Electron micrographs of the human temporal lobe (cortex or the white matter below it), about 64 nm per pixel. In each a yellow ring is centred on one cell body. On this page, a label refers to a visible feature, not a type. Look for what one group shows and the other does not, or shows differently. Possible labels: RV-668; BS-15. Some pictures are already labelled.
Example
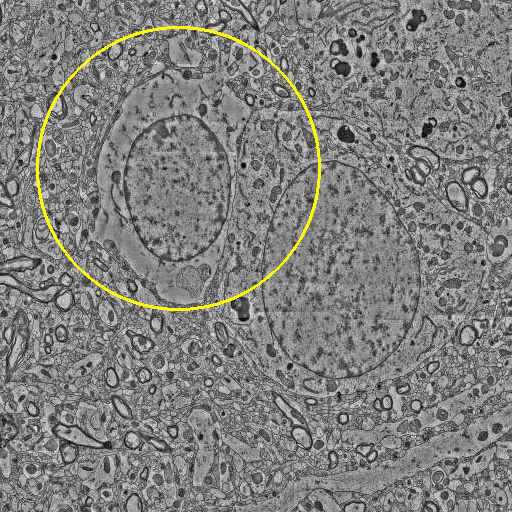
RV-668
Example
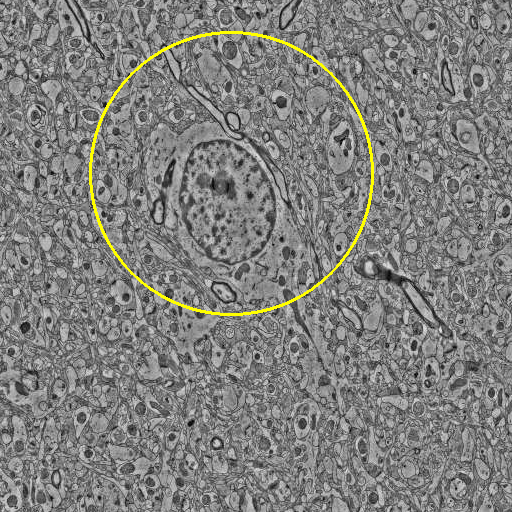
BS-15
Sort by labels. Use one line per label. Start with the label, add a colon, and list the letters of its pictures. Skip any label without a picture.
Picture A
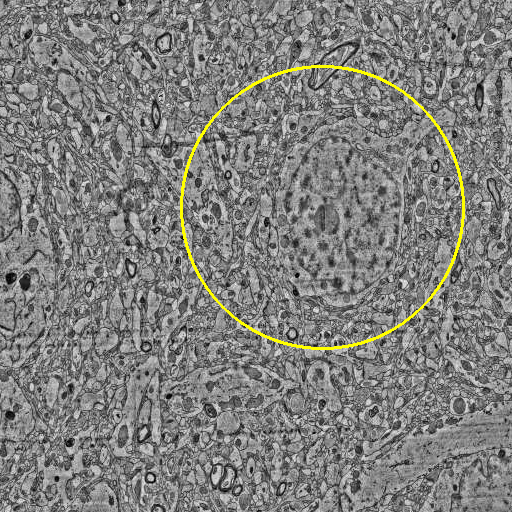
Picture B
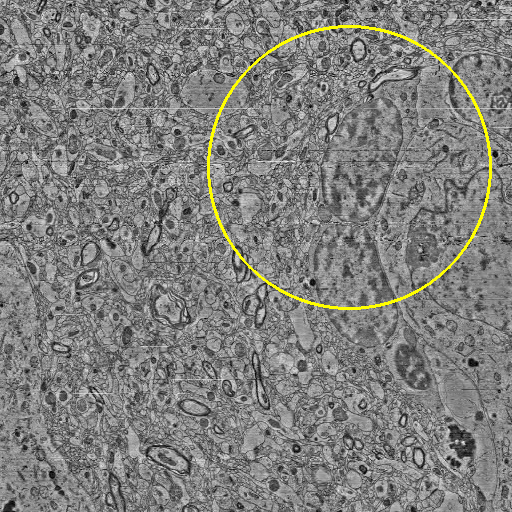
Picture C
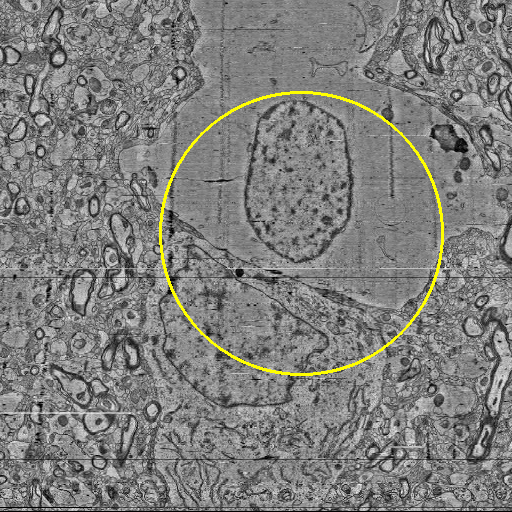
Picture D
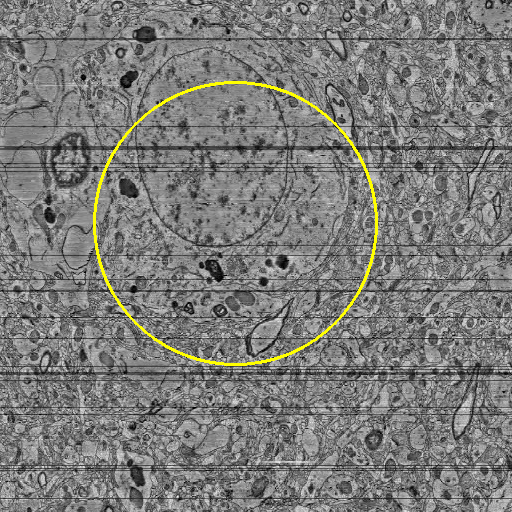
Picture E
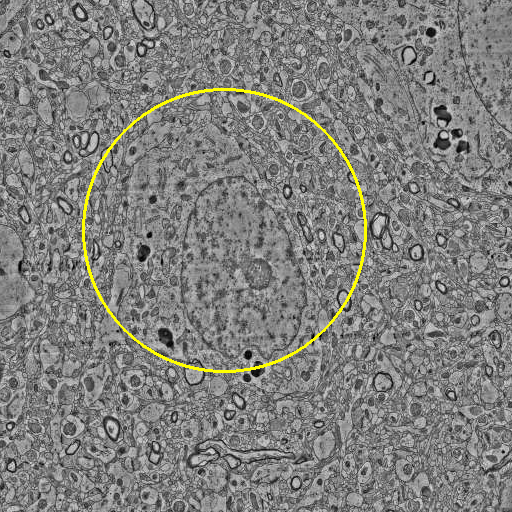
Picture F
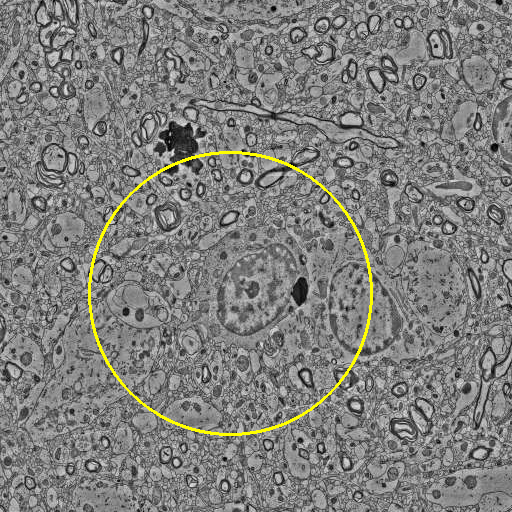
RV-668: B, C, D
BS-15: A, E, F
